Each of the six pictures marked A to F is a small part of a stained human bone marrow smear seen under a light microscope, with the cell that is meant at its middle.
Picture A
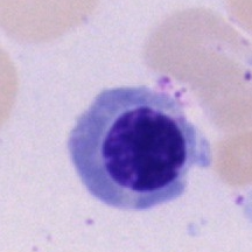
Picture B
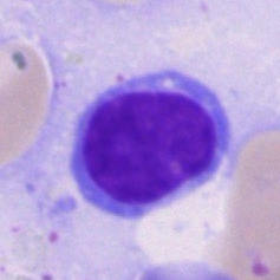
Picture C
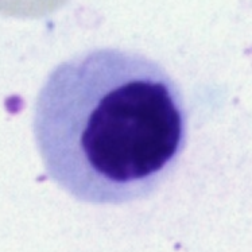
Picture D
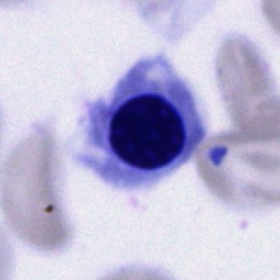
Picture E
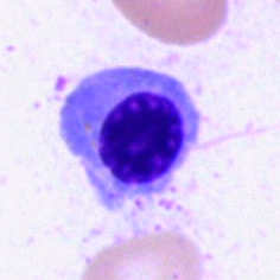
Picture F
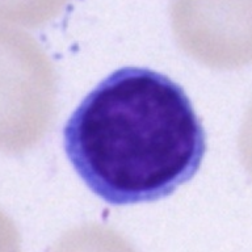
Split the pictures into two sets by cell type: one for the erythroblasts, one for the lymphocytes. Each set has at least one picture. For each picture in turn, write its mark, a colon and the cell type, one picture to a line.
A: erythroblast
B: lymphocyte
C: erythroblast
D: erythroblast
E: erythroblast
F: lymphocyte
